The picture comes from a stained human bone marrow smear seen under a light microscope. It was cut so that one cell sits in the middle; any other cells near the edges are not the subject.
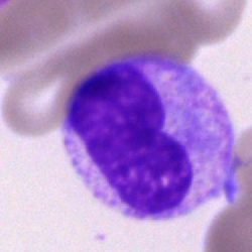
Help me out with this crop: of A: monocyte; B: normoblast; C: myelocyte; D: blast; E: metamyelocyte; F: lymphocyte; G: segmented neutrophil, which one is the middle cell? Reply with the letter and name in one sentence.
Correctly, option E names the cell in the middle a metamyelocyte.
